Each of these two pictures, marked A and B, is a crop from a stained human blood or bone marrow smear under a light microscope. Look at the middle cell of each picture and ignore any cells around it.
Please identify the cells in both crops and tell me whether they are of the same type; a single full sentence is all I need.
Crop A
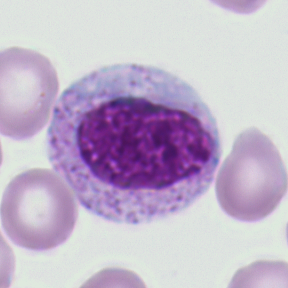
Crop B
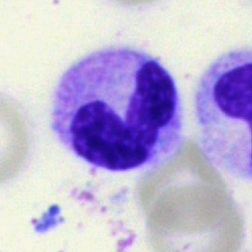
No, at the centre of crop A is a metamyelocyte, and at the centre of crop B is a band neutrophil.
